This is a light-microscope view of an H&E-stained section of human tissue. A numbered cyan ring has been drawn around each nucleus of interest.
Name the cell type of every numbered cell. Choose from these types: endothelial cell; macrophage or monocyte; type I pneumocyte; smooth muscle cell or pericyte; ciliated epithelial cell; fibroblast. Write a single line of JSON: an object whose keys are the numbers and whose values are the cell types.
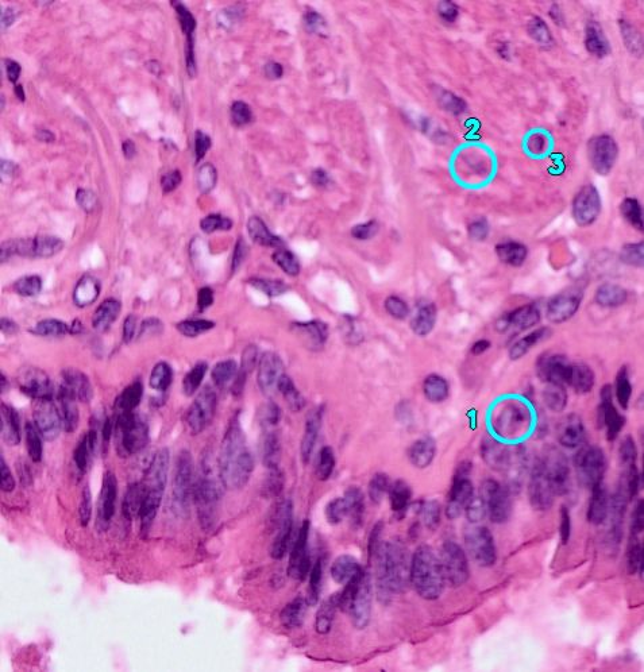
{"1": "ciliated epithelial cell", "2": "smooth muscle cell or pericyte", "3": "smooth muscle cell or pericyte"}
